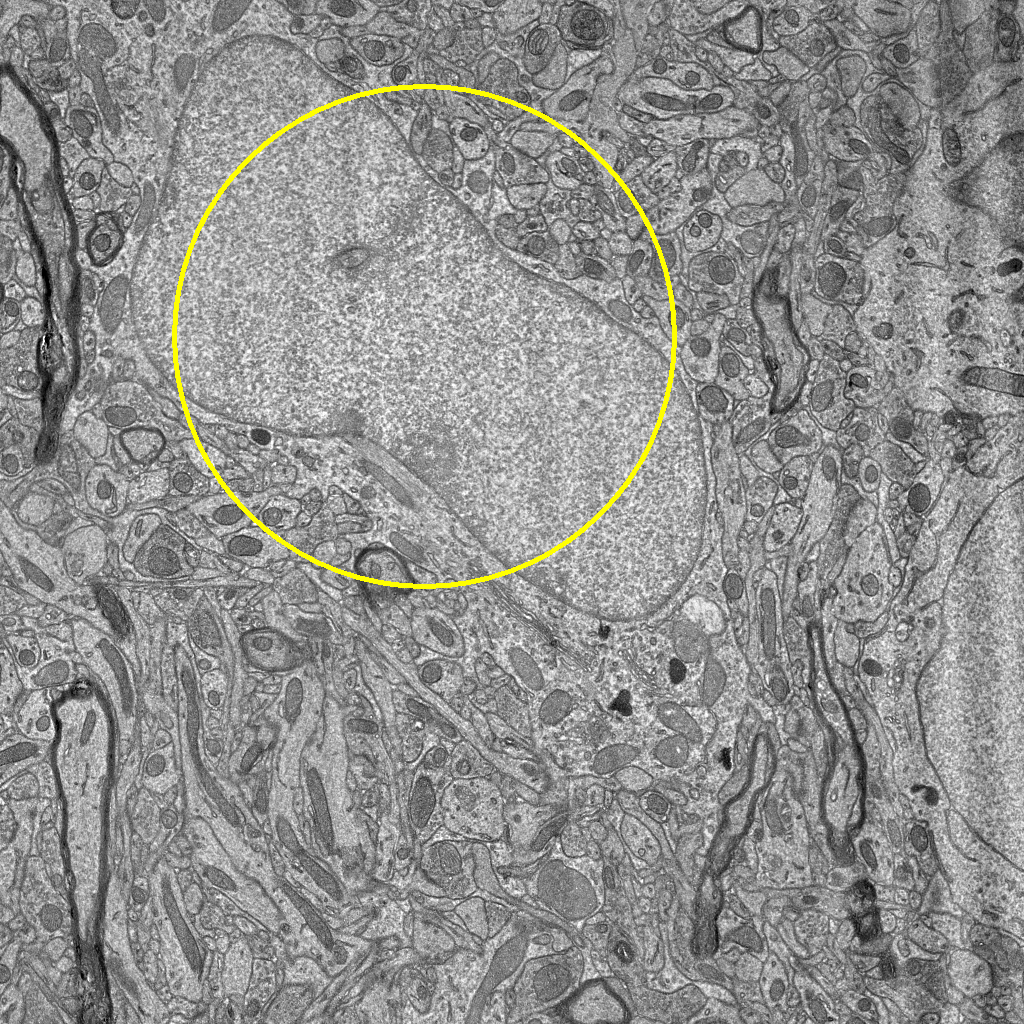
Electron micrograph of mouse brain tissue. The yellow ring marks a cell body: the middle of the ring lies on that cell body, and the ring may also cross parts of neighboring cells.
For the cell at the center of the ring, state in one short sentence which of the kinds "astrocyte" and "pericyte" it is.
This ring's center lies on an astrocyte.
